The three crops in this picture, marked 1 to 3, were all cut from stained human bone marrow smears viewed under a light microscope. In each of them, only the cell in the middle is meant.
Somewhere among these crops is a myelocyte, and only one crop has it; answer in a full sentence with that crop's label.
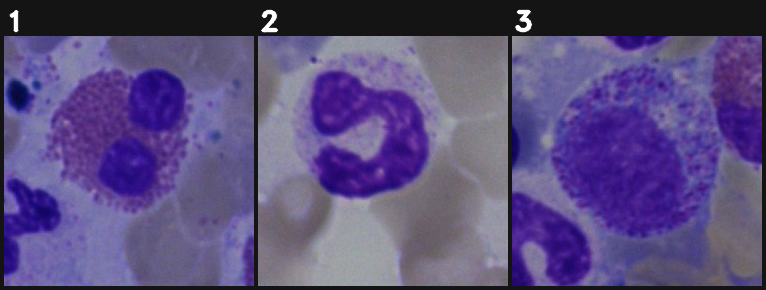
Of the crops shown, crop 3 depicts a myelocyte.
